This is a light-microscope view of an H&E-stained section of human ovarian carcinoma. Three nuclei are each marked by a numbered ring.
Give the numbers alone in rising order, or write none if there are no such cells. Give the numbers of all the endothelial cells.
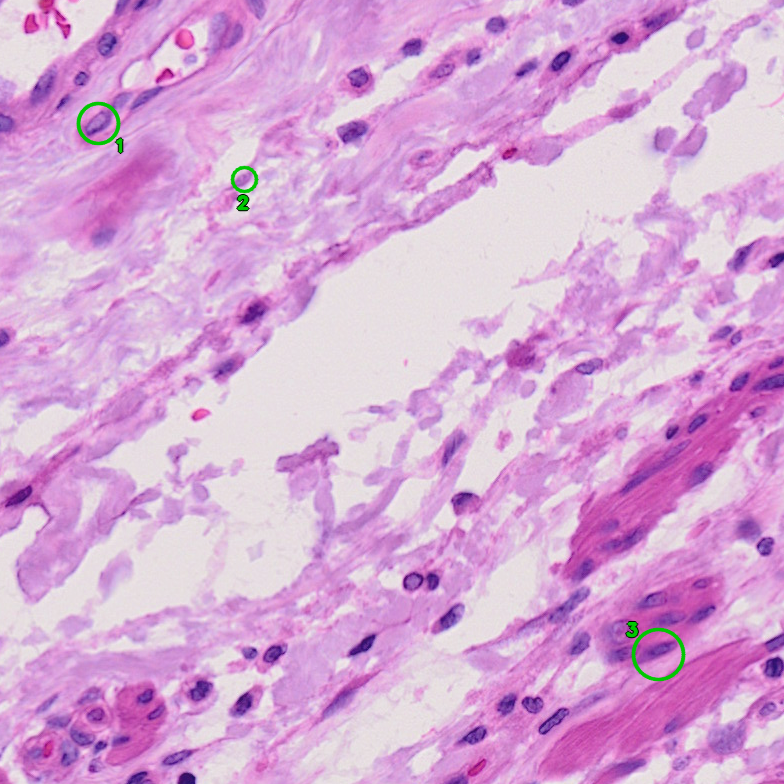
1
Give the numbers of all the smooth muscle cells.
3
